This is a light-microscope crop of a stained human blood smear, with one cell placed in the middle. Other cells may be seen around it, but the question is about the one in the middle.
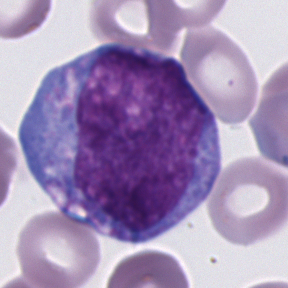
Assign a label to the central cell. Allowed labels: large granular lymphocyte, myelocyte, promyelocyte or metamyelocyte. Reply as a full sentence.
The cell at the centre of the field is a promyelocyte.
